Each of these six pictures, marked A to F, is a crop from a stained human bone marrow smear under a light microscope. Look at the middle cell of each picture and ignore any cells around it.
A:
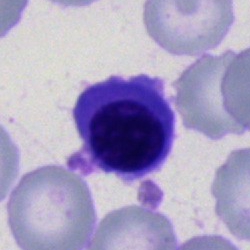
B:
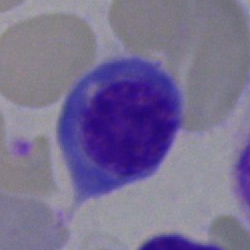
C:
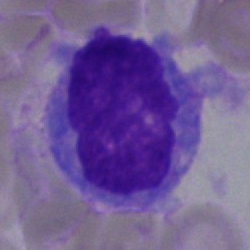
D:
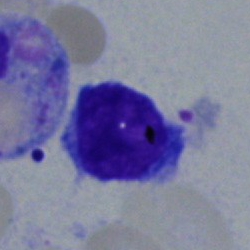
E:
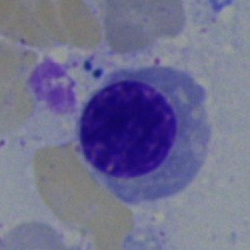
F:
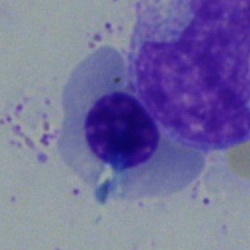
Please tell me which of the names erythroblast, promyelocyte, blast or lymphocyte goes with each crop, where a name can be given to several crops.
A: erythroblast
B: erythroblast
C: promyelocyte
D: lymphocyte
E: erythroblast
F: erythroblast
